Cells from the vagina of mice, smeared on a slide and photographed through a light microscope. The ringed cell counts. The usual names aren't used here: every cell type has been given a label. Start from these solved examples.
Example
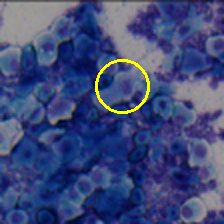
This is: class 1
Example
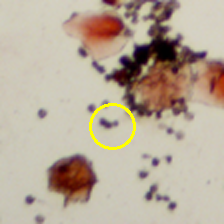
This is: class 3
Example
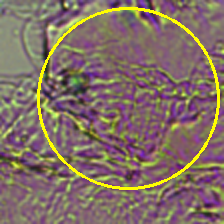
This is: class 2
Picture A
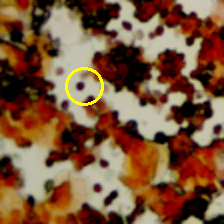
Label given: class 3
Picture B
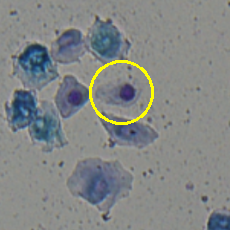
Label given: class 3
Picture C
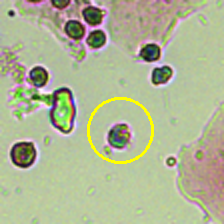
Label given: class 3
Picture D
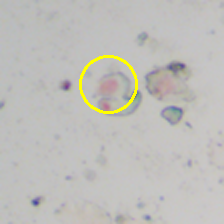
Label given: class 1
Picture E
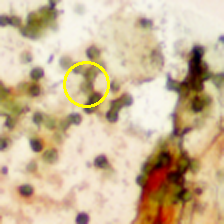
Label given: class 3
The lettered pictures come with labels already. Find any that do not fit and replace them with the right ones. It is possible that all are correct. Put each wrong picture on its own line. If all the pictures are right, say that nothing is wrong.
Wrong: B (class 3); correct: class 1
